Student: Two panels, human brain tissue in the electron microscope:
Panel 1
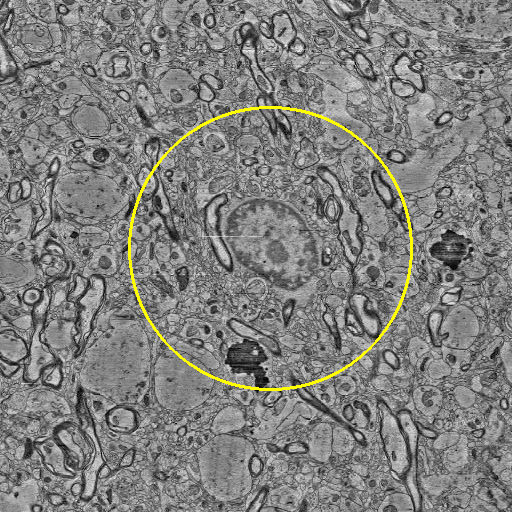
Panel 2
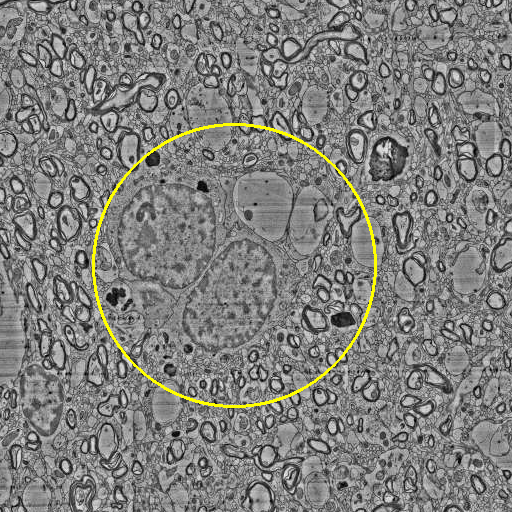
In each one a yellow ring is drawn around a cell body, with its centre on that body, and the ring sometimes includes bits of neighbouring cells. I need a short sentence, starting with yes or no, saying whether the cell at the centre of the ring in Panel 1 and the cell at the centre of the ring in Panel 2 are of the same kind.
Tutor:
Yes, they are the same kind of cell.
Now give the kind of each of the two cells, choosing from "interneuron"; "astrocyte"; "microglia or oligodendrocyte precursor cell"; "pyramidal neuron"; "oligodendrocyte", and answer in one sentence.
In the first picture and in the second, the ring is centred on an oligodendrocyte.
